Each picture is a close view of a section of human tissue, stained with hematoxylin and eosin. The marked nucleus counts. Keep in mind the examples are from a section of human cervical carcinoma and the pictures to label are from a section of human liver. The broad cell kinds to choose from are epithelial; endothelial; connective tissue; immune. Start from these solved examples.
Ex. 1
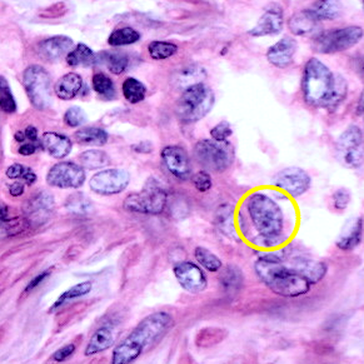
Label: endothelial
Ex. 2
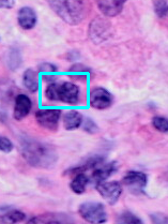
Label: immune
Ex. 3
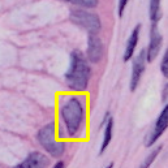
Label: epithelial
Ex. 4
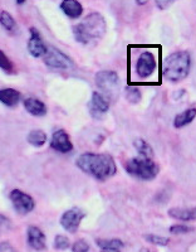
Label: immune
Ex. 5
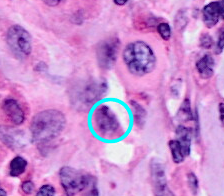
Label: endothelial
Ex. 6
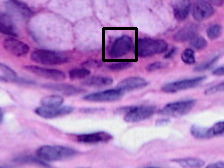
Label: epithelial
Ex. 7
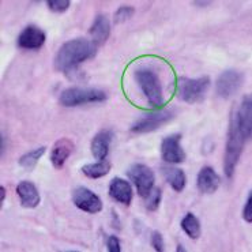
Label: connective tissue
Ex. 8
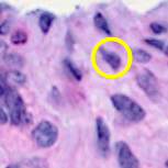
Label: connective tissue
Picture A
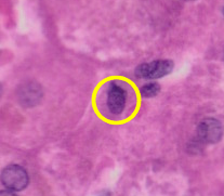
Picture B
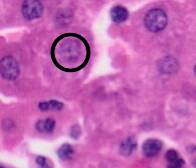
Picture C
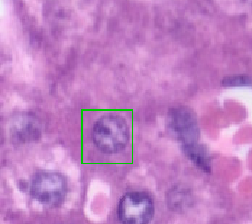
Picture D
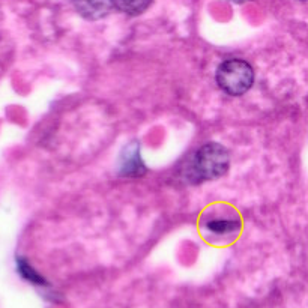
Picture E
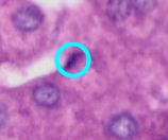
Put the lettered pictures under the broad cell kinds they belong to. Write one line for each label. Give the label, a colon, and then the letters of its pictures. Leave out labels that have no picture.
epithelial: B, C
connective tissue: D, E
immune: A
